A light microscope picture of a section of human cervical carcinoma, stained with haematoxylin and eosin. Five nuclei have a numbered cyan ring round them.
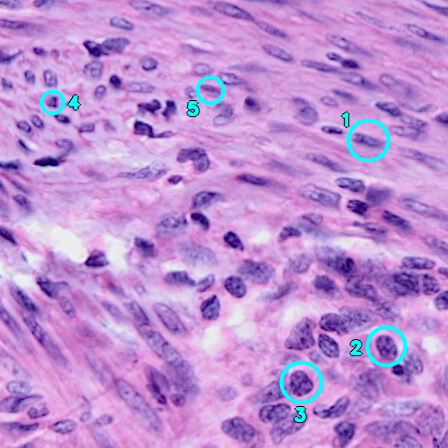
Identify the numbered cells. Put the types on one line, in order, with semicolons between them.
fibroblast; lymphocyte; lymphocyte; smooth muscle cell; smooth muscle cell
